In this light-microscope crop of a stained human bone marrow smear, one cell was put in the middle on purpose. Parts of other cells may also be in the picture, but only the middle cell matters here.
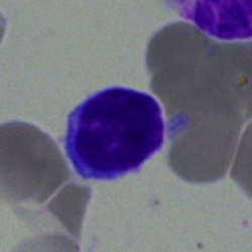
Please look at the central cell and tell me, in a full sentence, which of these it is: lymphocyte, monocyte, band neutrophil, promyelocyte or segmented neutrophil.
Centred in the crop is a lymphocyte.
